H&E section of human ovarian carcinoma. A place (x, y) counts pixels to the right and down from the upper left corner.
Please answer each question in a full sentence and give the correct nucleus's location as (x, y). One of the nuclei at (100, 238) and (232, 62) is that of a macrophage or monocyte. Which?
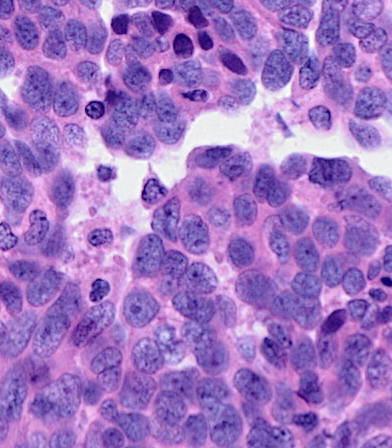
Of the two, the nucleus lying at (100, 238) is the one belonging to a macrophage or monocyte.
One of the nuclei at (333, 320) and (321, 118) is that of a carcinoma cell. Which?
The nucleus whose cell is a carcinoma cell is the one at (333, 320).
